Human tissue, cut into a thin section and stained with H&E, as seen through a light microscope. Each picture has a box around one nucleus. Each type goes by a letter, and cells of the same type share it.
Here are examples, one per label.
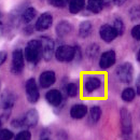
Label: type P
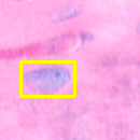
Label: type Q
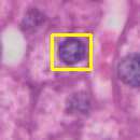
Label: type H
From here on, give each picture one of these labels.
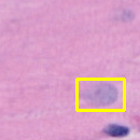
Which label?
type Q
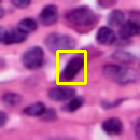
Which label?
type P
